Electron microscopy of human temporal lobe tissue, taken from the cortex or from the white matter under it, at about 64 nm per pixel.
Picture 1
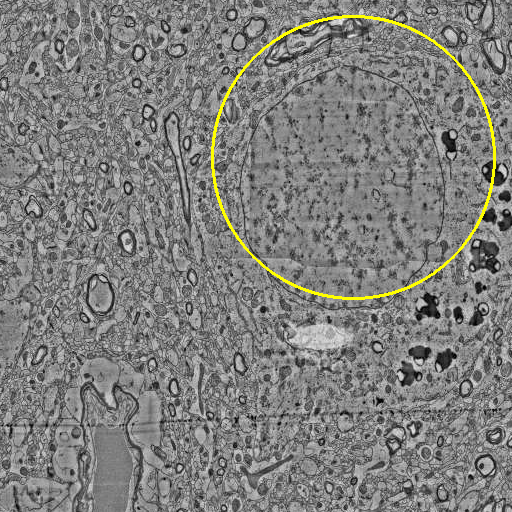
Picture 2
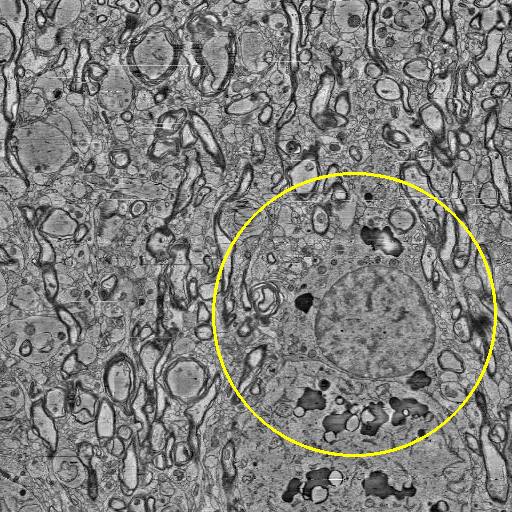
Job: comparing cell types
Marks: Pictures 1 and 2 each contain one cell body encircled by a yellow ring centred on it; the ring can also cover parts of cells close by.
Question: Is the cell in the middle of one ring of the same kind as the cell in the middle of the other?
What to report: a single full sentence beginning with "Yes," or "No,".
No, the cell at the ring centre in Picture 1 and its partner in Picture 2 are of two kinds.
